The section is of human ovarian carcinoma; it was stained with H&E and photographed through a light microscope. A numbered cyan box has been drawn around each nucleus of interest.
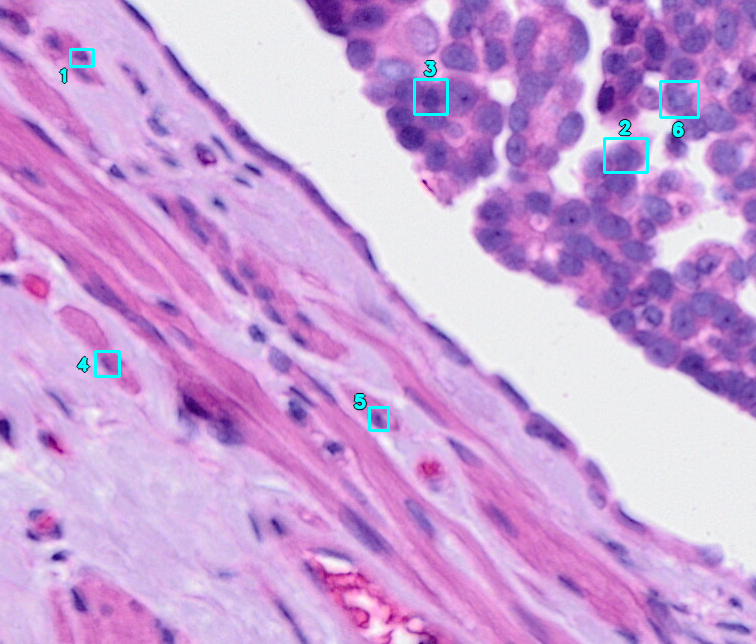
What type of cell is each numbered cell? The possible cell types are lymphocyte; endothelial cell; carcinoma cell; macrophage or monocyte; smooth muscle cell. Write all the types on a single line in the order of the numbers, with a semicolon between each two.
smooth muscle cell; carcinoma cell; carcinoma cell; smooth muscle cell; smooth muscle cell; carcinoma cell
